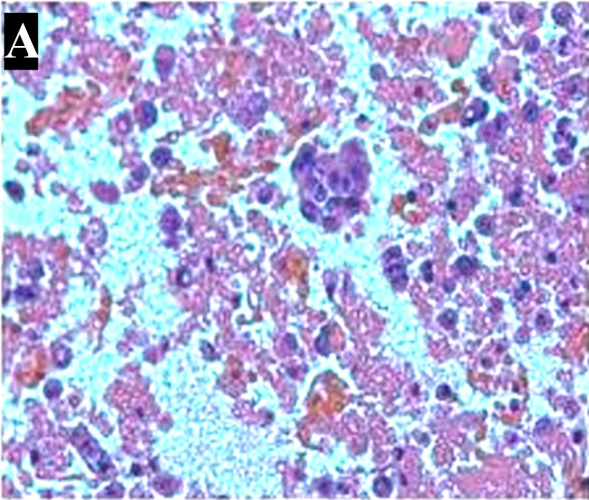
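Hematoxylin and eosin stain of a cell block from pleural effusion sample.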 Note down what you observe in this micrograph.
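A cohesive cluster of larger cells with dark purple nuclei lies near the centre. Scattered single cells with round dark nuclei lie between the red cells, over a pale blue-green background.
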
